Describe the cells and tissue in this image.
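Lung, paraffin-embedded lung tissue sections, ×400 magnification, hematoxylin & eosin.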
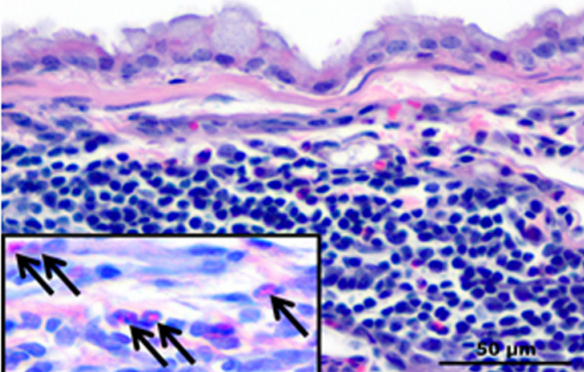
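Airway epithelium of columnar cells with pale, vacuolated apical cytoplasm lines the surface over a thin pink band of connective tissue. Beneath it lies a dense infiltrate of closely packed cells with small, round, dark purple nuclei and scant cytoplasm. In the inset, scattered cells with pink-red cytoplasmic granules lie among blue-stained elongated cells.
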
